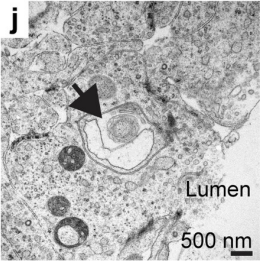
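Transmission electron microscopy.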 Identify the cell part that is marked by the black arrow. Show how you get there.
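Autophagosomes. The arrow points to a membrane-bounded vacuole containing inner membranous profiles.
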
